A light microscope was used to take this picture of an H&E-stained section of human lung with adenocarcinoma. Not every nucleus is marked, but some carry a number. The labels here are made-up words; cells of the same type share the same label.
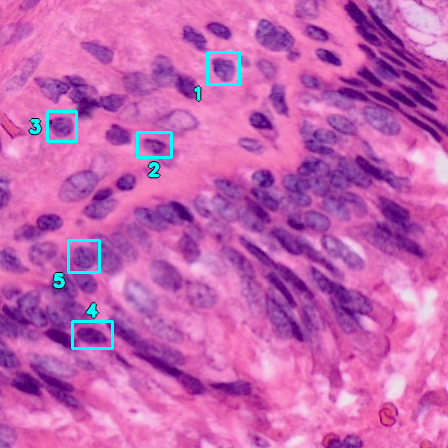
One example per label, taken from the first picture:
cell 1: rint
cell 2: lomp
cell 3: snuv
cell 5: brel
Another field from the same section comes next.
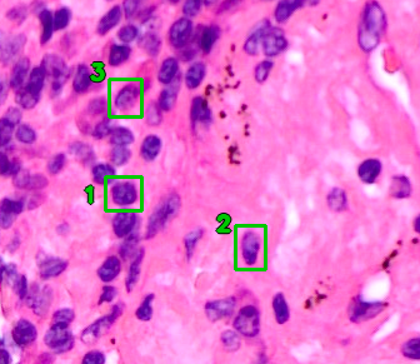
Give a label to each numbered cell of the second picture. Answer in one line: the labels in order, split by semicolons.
rint; snuv; rint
